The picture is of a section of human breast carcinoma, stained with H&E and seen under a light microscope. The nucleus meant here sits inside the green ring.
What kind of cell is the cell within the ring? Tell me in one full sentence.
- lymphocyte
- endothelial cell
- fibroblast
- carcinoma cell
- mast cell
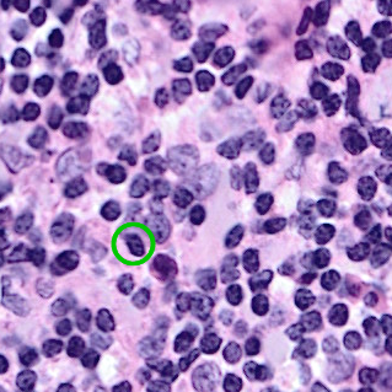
To be brief about it, the cell within the ring is a lymphocyte.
